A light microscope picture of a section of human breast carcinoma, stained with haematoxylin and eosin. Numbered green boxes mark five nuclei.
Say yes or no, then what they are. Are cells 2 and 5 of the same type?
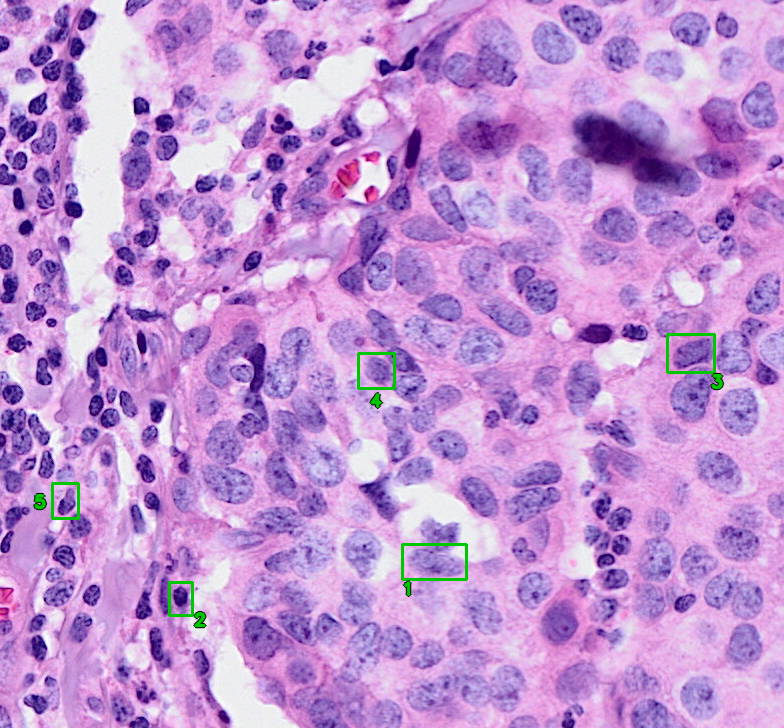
Yes, both are lymphocytes.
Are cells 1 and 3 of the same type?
Yes, both are carcinoma cells.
